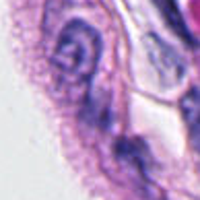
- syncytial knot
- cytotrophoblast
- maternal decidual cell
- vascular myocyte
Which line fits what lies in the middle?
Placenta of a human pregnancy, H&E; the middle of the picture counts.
cytotrophoblast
